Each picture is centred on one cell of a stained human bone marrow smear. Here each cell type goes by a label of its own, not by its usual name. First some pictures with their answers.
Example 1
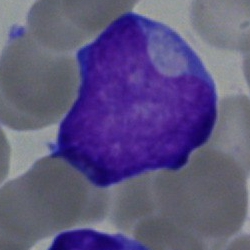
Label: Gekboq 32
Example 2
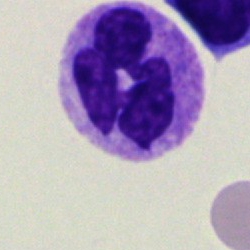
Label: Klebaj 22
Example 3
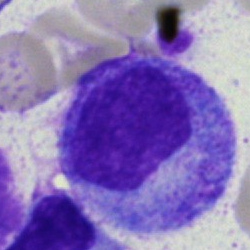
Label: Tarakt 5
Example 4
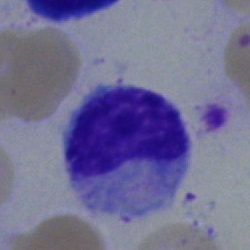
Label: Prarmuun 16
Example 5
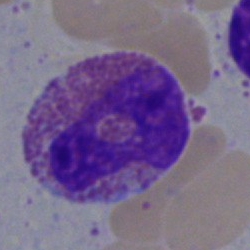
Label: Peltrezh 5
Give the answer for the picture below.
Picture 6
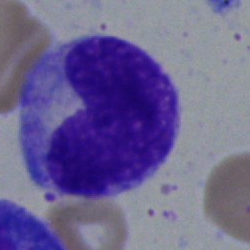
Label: Prarmuun 16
